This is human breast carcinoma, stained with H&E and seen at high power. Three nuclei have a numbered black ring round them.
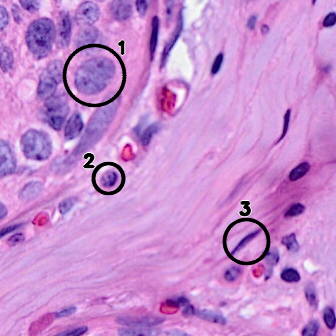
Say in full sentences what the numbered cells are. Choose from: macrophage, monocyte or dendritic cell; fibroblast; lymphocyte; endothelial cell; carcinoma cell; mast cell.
Cell 1 is a carcinoma cell, cell 2 is a mast cell and cell 3 is a fibroblast.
